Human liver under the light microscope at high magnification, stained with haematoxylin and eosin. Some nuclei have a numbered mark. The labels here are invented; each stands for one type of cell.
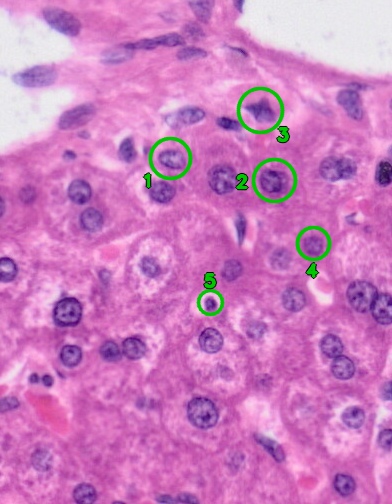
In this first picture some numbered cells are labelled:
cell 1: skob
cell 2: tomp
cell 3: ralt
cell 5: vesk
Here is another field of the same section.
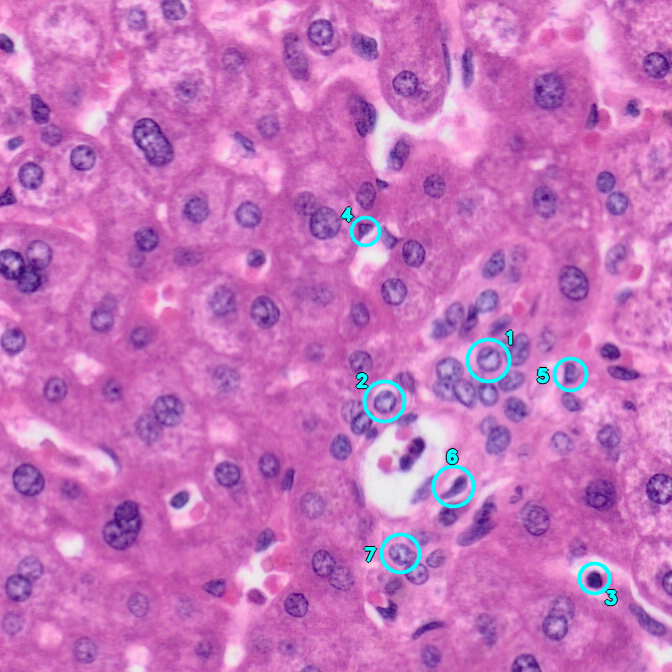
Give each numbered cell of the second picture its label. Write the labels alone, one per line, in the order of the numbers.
skob
skob
vesk
ralt
ralt
ralt
skob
